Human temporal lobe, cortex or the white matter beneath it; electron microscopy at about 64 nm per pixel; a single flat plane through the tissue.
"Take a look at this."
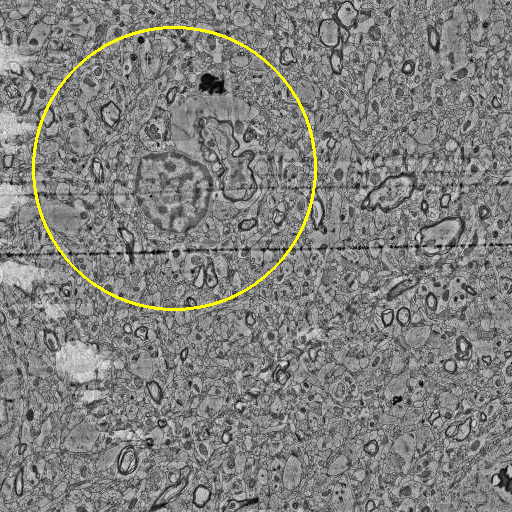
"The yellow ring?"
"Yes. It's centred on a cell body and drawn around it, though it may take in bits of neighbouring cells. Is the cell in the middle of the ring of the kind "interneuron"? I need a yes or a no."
No, it is of another kind.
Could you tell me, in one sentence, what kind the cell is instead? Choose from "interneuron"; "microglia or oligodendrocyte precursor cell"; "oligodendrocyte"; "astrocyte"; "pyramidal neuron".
The ring's central cell is an oligodendrocyte instead.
